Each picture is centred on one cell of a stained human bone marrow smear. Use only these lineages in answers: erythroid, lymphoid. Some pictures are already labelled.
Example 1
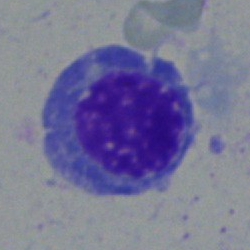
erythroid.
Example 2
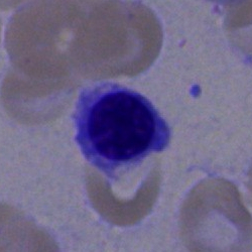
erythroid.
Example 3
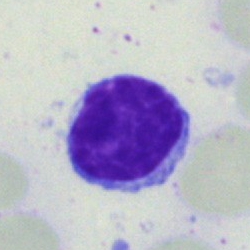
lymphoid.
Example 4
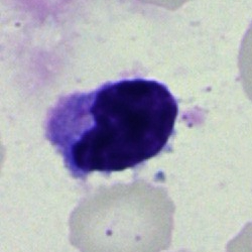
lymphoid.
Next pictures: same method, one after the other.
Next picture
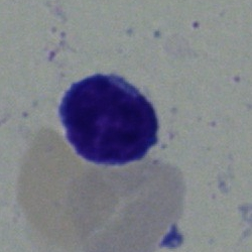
lymphoid.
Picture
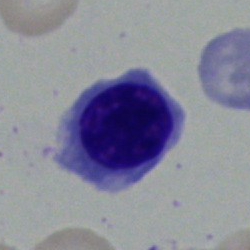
erythroid.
